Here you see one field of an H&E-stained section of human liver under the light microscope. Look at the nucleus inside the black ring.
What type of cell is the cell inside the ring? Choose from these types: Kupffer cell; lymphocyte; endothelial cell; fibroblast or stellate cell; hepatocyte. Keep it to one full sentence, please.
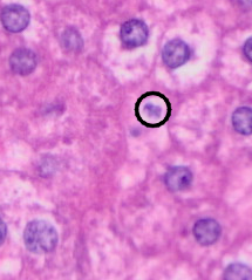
In this section, the cell inside the ring is a lymphocyte.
